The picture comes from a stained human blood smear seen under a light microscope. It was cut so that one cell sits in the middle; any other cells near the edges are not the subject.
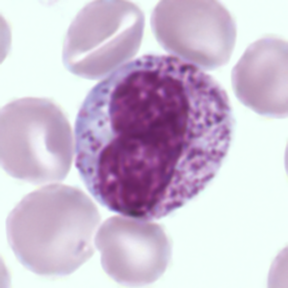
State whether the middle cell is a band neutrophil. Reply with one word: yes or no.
no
